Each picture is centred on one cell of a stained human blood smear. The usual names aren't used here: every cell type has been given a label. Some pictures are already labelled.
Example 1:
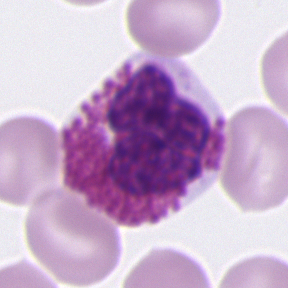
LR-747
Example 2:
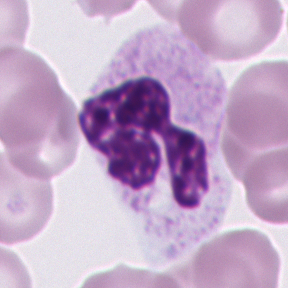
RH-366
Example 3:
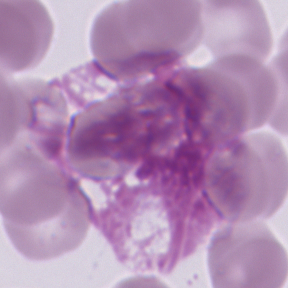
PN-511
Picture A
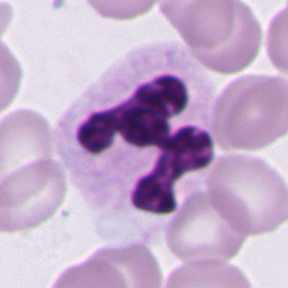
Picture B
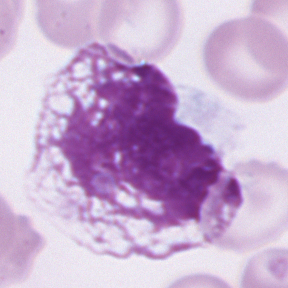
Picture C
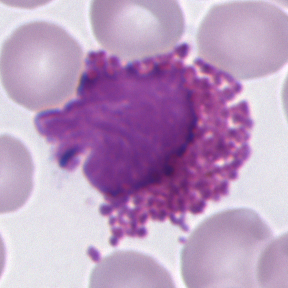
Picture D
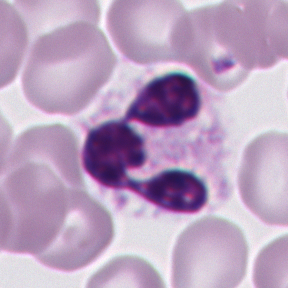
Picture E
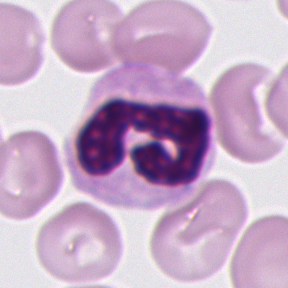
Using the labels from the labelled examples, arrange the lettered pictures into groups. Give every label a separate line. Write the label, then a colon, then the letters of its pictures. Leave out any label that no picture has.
LR-747: C
RH-366: A, D, E
PN-511: B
